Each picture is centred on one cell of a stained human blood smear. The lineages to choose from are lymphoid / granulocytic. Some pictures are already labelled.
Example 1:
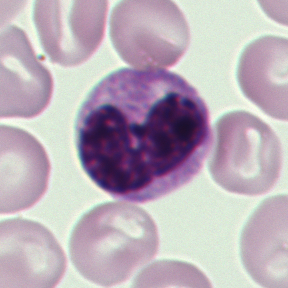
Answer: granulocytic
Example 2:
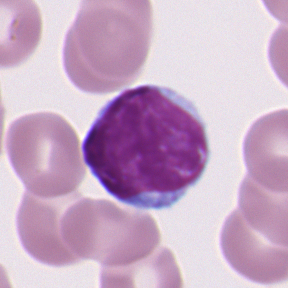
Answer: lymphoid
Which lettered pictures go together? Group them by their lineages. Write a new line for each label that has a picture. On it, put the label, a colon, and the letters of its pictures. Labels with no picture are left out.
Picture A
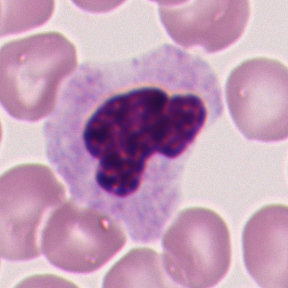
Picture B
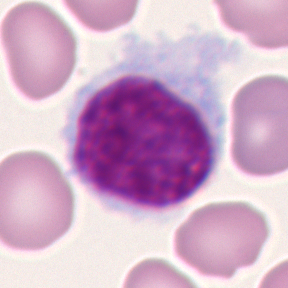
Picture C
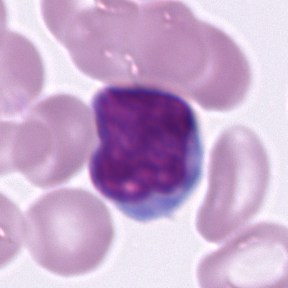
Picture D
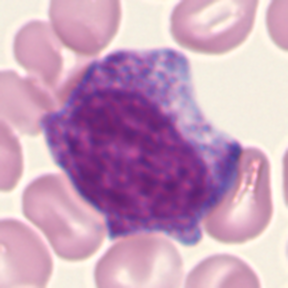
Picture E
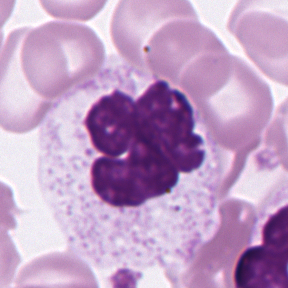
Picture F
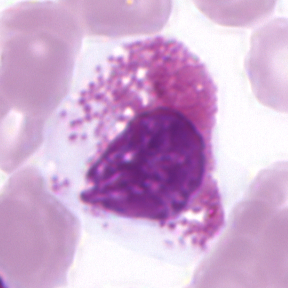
lymphoid: B, C
granulocytic: A, D, E, F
